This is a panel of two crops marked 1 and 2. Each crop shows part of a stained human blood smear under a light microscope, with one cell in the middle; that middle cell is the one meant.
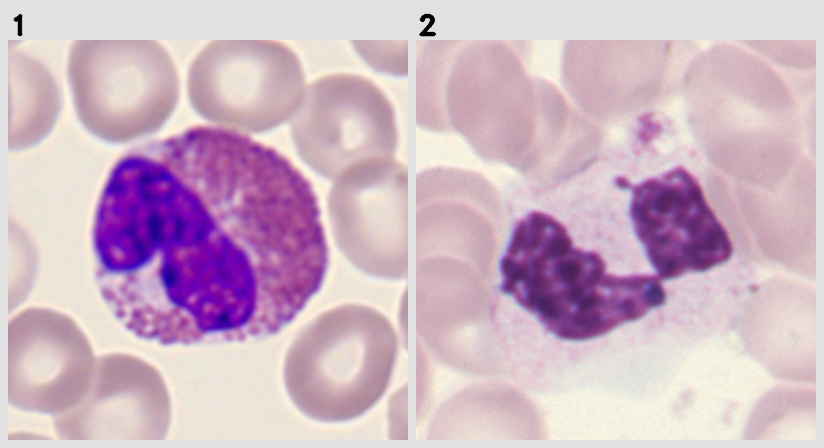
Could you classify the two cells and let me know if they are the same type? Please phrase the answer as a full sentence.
No, in crop 2 the central cell is a segmented neutrophil, and in crop 1 it is an eosinophil.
